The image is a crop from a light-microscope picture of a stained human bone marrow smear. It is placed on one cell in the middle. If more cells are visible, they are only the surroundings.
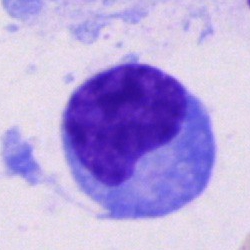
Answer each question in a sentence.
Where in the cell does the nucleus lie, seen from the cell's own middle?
Seen from the middle of the cell, the nucleus lies toward the upper left.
